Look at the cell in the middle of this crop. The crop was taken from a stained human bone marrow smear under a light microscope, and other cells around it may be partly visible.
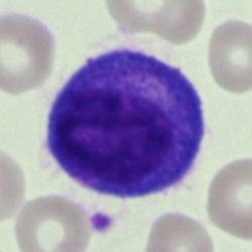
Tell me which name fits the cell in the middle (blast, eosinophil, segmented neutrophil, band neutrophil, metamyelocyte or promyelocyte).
promyelocyte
